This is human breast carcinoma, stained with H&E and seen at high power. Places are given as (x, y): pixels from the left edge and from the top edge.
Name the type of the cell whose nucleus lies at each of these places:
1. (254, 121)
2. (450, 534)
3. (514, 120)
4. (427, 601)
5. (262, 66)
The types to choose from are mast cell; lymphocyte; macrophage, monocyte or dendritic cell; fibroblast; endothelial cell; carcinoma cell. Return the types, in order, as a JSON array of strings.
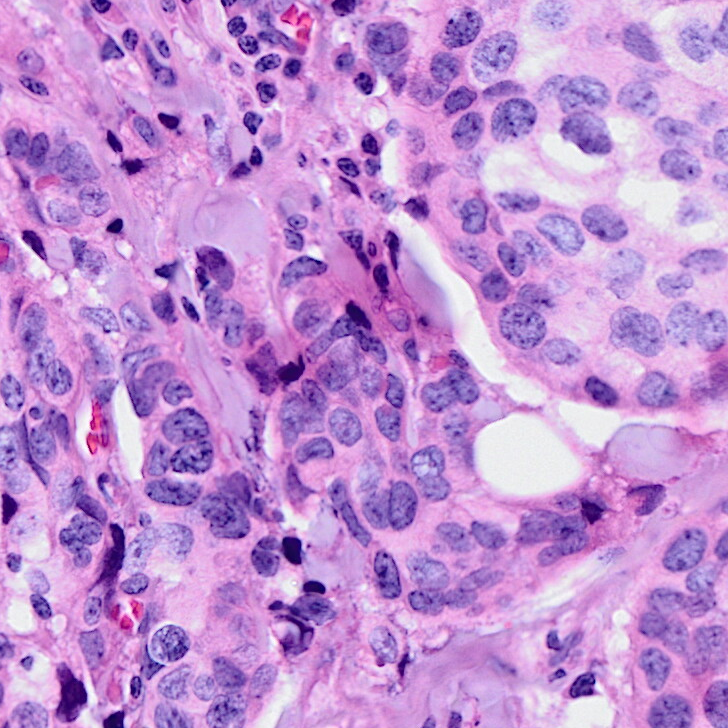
["lymphocyte", "carcinoma cell", "carcinoma cell", "carcinoma cell", "lymphocyte"]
